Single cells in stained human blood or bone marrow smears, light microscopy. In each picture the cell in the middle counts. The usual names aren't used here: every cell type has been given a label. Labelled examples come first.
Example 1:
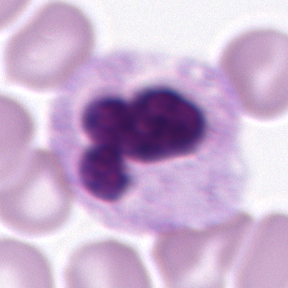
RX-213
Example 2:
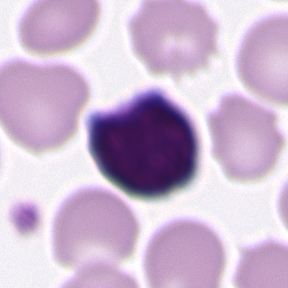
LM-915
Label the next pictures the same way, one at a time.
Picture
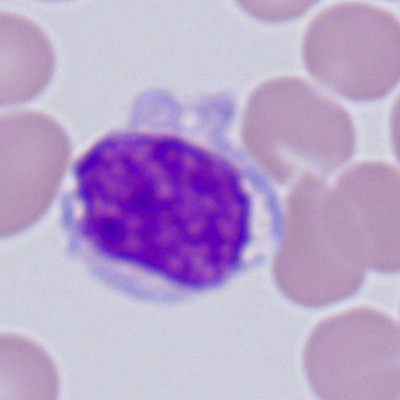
LM-915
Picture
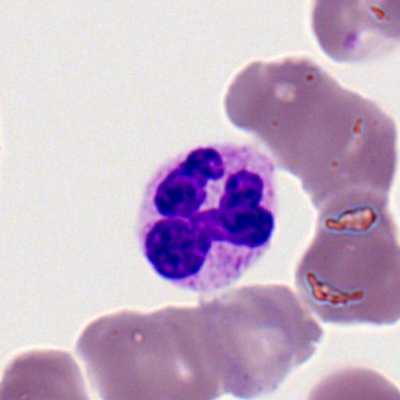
RX-213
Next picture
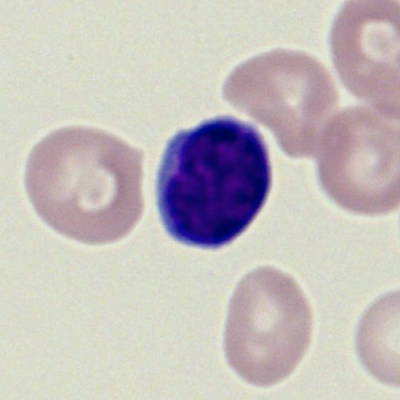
LM-915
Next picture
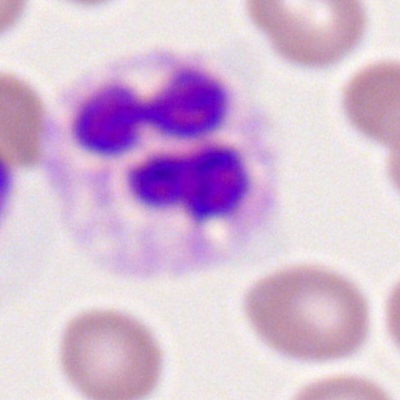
RX-213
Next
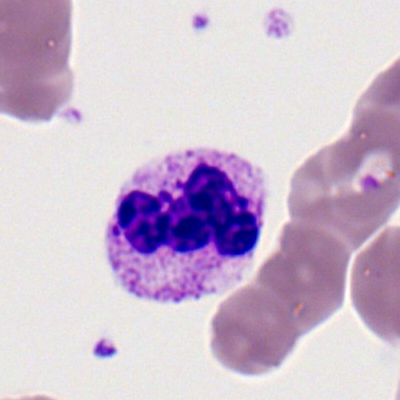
RX-213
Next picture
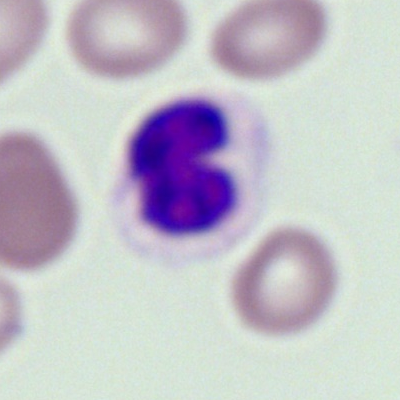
RX-213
